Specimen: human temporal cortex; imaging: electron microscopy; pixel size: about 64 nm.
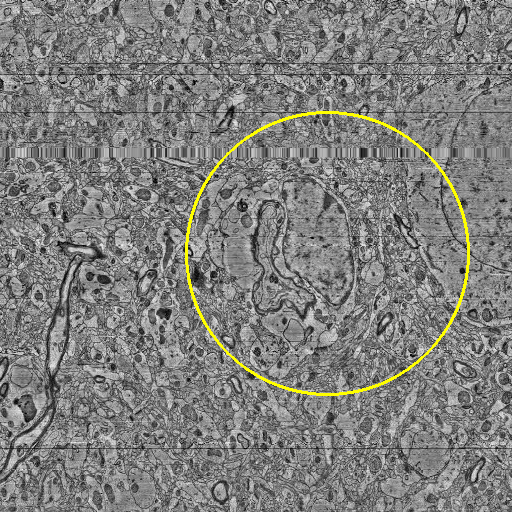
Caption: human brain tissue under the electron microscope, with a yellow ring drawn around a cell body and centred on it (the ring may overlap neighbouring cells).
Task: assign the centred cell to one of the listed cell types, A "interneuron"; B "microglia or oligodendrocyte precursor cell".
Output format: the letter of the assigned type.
B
